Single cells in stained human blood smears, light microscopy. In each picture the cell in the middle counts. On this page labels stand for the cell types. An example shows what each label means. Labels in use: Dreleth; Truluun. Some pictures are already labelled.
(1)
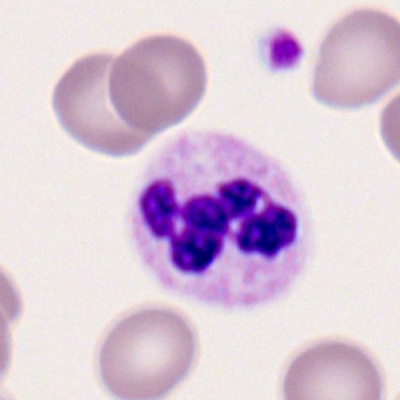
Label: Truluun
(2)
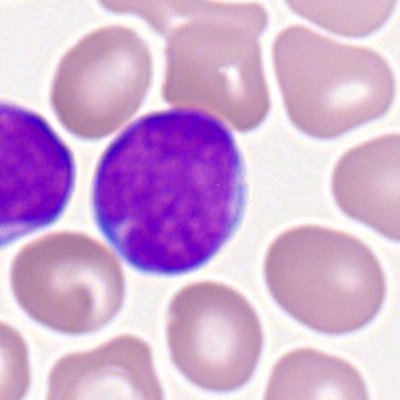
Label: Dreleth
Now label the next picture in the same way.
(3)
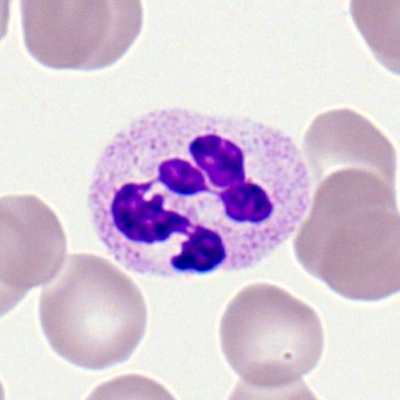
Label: Truluun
